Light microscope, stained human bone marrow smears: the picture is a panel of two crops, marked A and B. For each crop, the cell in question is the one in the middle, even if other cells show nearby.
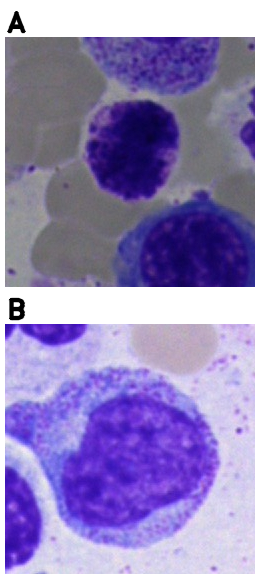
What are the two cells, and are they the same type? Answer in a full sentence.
No, the cell shown in crop A is a basophil, and the cell shown in crop B is a promyelocyte.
